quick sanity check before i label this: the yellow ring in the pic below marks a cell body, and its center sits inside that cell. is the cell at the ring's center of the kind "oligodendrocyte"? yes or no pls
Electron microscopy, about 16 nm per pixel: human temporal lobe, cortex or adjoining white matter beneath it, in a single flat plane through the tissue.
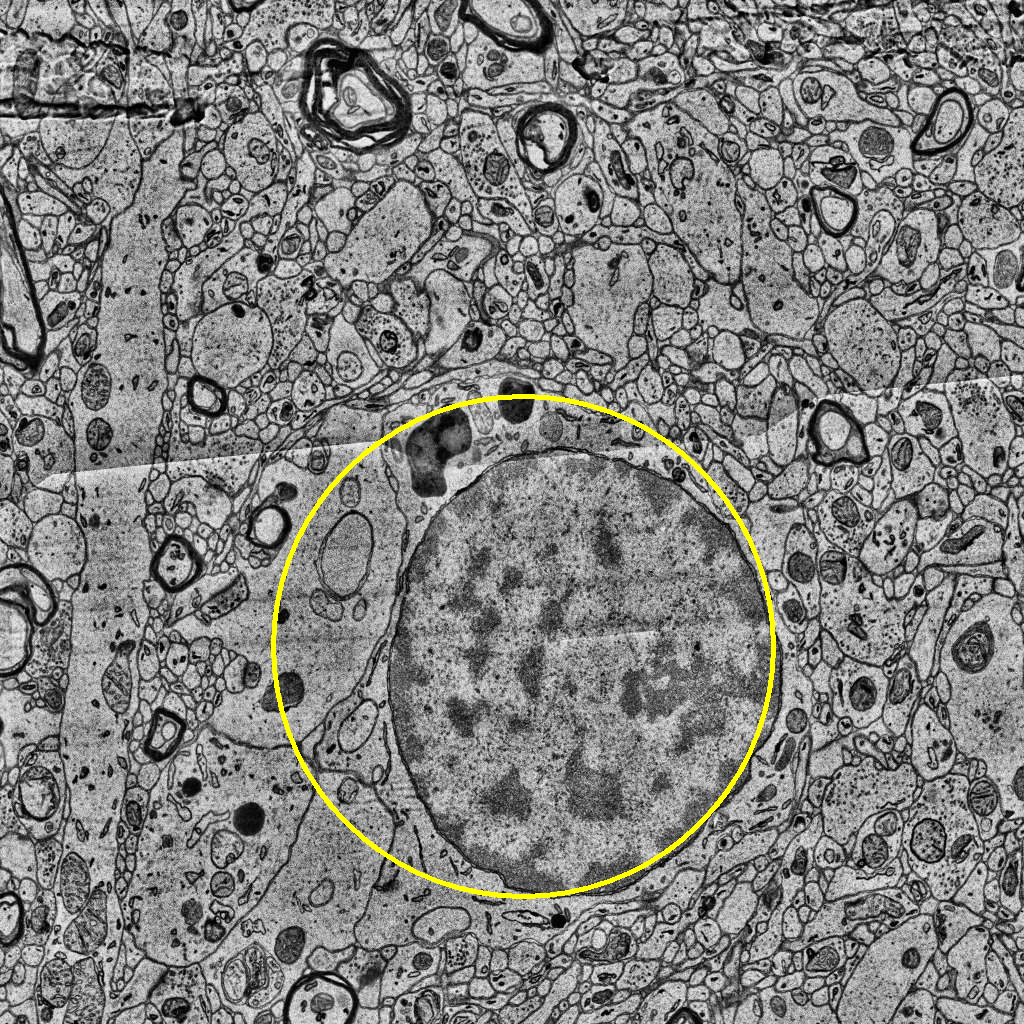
no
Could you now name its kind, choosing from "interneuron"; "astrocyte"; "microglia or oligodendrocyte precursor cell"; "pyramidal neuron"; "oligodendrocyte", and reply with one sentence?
The cell enclosed by the ring is a microglial cell or oligodendrocyte precursor cell.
